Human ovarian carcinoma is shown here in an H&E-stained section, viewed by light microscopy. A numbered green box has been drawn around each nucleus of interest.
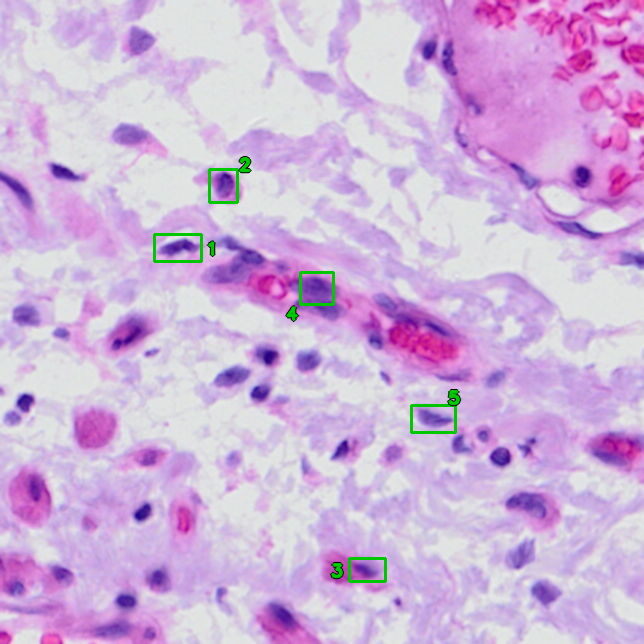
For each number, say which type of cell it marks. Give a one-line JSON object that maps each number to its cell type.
{"1": "fibroblast", "2": "macrophage or monocyte", "3": "smooth muscle cell", "4": "endothelial cell", "5": "fibroblast"}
